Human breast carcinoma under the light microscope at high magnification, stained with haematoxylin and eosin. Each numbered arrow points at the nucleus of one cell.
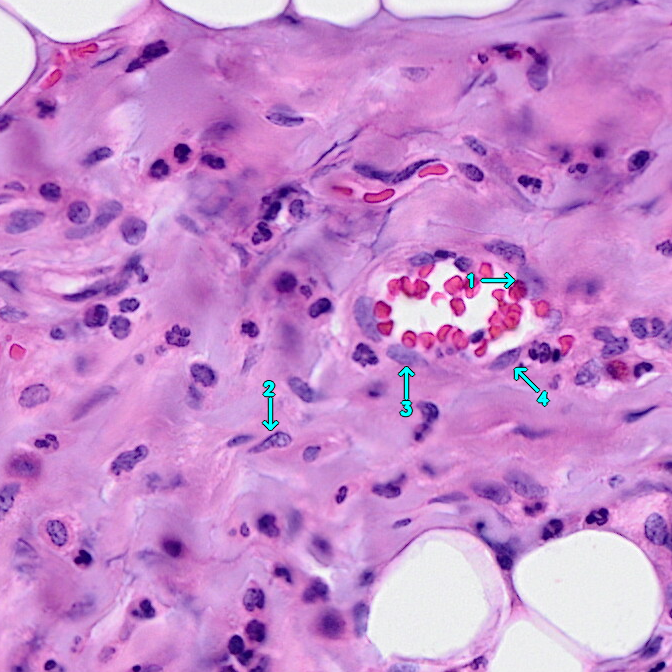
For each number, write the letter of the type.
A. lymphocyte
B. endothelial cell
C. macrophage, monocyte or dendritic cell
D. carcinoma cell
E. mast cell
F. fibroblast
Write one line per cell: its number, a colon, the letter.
1: B
2: F
3: B
4: B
